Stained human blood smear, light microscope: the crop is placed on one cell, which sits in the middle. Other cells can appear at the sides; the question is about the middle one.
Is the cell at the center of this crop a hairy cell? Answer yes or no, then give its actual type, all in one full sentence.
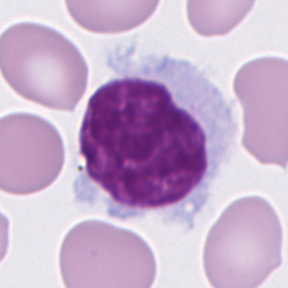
Yes, in this crop the cell in the middle is a hairy cell.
